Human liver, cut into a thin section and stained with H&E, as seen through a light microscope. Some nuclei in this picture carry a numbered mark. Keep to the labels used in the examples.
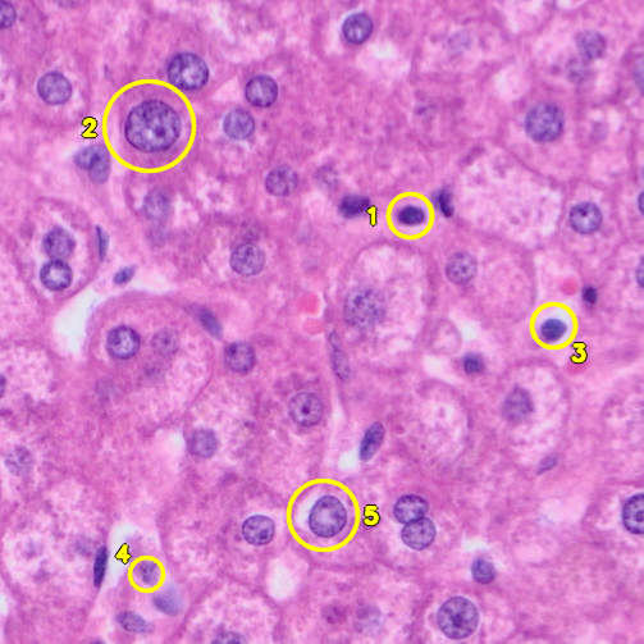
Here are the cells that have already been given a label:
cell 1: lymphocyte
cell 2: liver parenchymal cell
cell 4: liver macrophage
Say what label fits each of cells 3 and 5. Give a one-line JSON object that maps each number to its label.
{"3": "lymphocyte", "5": "liver parenchymal cell"}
